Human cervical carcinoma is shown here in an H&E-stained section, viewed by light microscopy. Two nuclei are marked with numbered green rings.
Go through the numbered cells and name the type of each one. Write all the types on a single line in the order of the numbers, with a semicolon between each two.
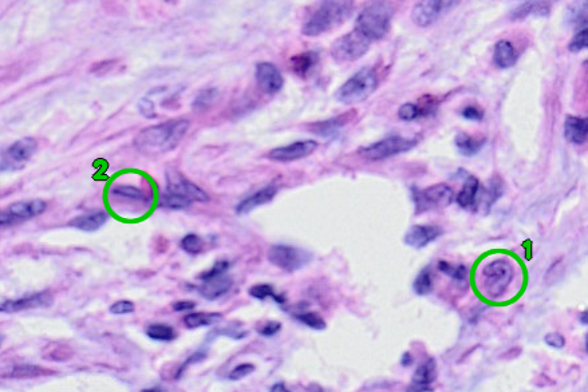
macrophage or monocyte; endothelial cell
